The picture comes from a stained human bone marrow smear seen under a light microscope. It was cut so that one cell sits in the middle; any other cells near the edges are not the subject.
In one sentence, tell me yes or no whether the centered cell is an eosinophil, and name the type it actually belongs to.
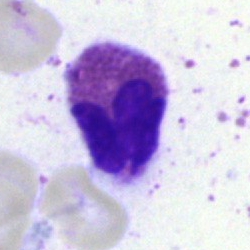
Yes, the cell centred in the field of view is an eosinophil.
